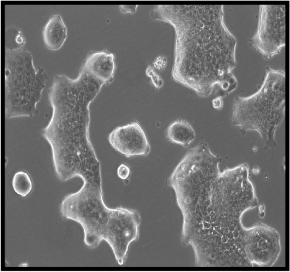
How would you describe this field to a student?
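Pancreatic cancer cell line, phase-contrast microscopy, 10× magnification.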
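Within each island the cells are tightly packed and share borders, while the island margins are smooth and bright-rimmed. A few separate rounded cells lie apart from the islands.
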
